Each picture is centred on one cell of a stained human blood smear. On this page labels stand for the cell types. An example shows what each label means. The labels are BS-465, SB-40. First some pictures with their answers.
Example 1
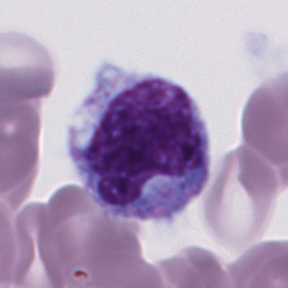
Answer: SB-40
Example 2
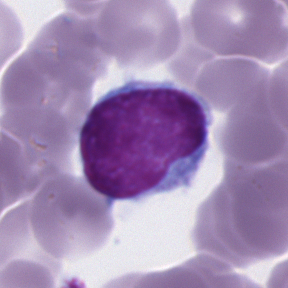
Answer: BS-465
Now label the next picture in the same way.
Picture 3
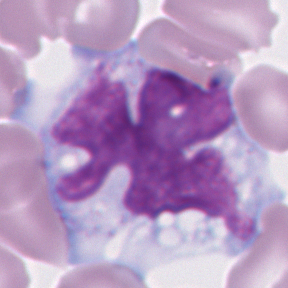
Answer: SB-40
